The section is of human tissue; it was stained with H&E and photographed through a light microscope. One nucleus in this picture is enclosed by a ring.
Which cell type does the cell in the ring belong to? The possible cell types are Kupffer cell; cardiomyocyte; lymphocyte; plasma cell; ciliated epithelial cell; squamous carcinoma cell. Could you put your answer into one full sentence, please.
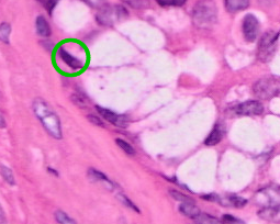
In this preparation, the cell in the ring is a ciliated epithelial cell.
